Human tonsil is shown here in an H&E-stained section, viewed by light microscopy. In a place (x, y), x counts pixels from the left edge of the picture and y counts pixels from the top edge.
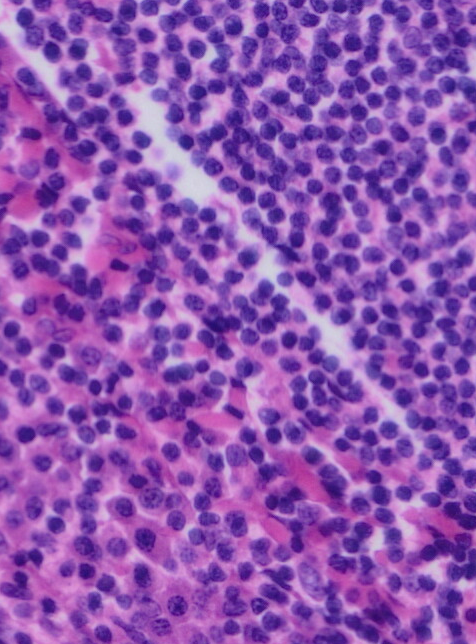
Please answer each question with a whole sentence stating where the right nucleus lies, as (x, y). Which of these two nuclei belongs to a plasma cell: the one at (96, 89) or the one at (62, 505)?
The nucleus at (62, 505) is the member of the pair belonging to a plasma cell.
